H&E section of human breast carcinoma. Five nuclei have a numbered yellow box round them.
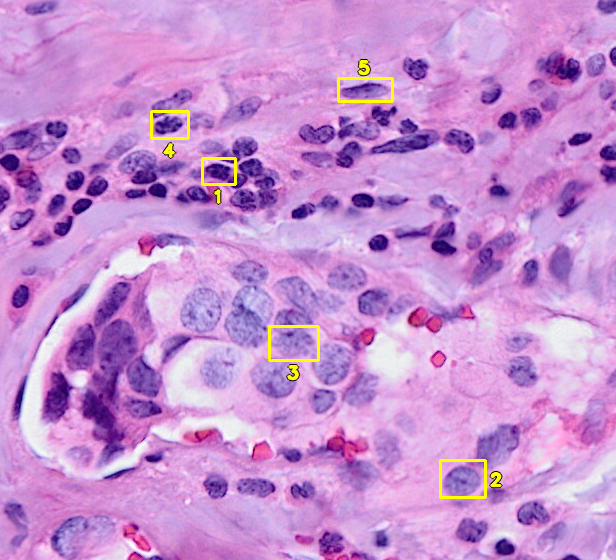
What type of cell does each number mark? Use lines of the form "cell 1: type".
cell 1: lymphocyte
cell 2: carcinoma cell
cell 3: carcinoma cell
cell 4: lymphocyte
cell 5: fibroblast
